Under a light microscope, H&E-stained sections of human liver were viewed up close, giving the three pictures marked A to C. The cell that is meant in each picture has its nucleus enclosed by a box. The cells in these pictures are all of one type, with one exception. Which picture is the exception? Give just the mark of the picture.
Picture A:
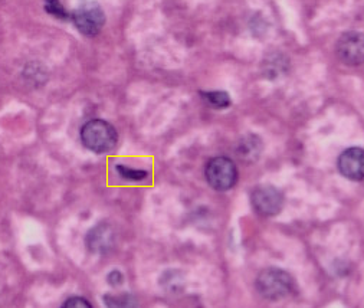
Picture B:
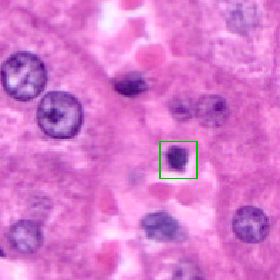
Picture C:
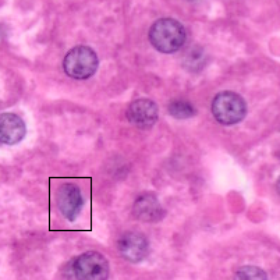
B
